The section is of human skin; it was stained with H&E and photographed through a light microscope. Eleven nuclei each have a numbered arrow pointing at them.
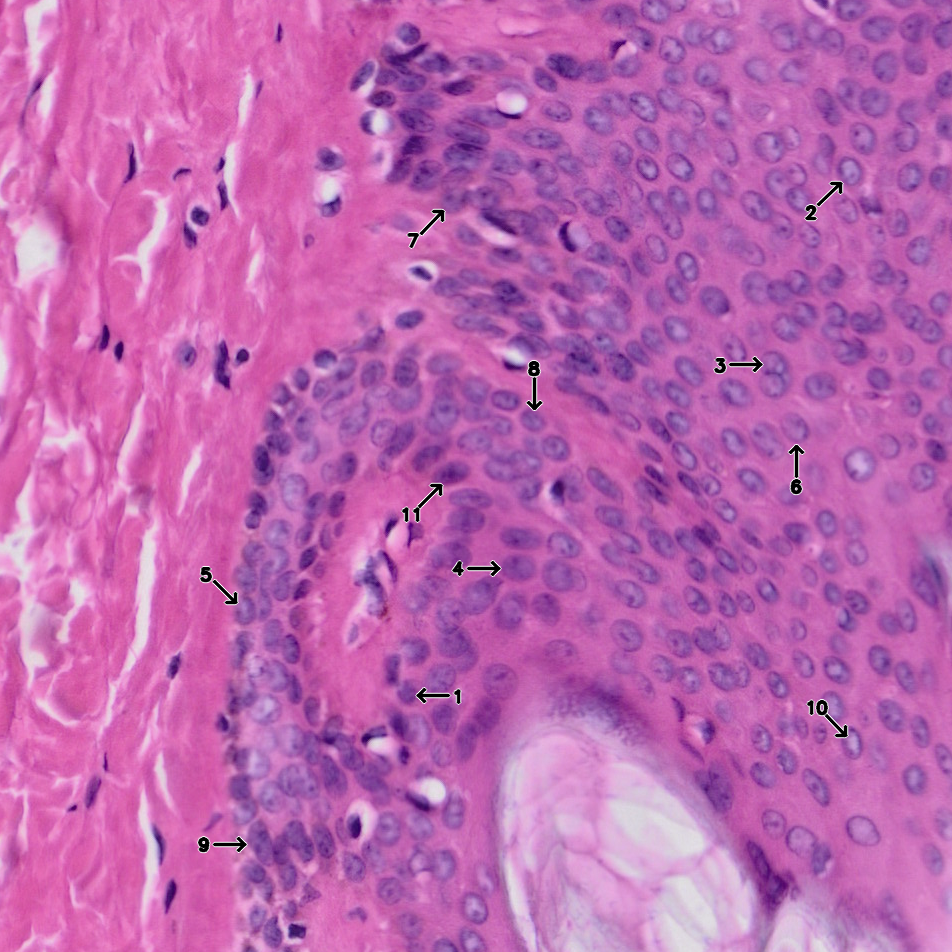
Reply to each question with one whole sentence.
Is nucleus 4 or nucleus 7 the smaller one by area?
Nucleus 7 covers less area, with nucleus 4 about 1.5 times as large.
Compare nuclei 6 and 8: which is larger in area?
It is nucleus 6, which covers about 1.5 times the area of nucleus 8.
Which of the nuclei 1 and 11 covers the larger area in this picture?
Of the two, number 11 is bigger and takes up about 2 times the area of number 1.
